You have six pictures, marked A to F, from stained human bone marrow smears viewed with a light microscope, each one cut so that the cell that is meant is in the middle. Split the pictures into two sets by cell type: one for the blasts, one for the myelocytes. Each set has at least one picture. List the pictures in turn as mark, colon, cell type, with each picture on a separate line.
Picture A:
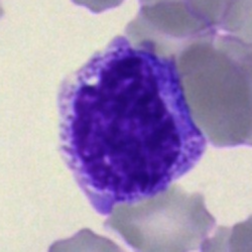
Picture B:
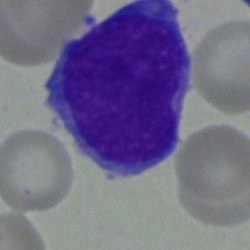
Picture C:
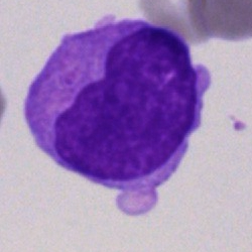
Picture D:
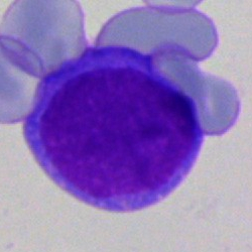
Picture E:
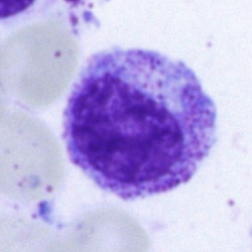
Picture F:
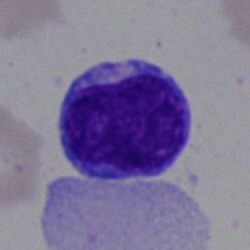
A: myelocyte
B: blast
C: blast
D: blast
E: myelocyte
F: blast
